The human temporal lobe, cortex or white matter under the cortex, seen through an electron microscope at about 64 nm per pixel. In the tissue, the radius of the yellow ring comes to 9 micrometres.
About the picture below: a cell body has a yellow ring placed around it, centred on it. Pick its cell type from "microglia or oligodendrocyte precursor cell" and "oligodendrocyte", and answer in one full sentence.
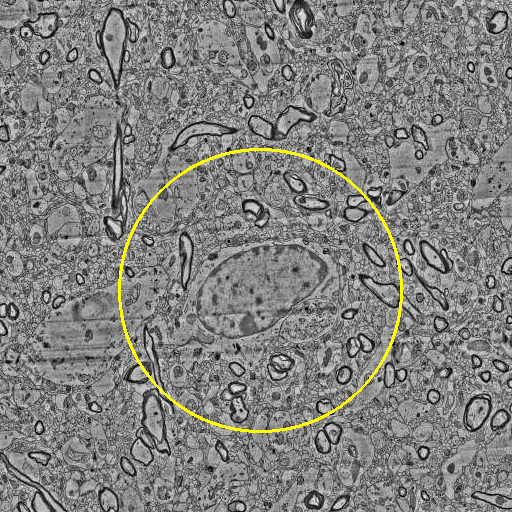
In the picture, a microglial cell or oligodendrocyte precursor cell is the cell sitting at the centre of the yellow ring.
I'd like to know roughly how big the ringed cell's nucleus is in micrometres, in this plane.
In this plane the nucleus measures about 9 by 5 micrometres and is clearly longer than it is wide.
